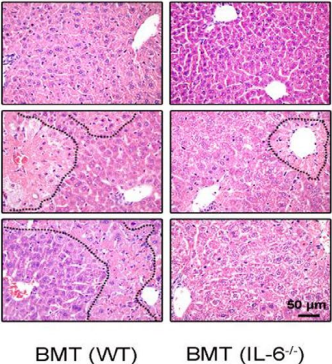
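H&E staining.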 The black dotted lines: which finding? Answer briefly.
Necrotic zones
